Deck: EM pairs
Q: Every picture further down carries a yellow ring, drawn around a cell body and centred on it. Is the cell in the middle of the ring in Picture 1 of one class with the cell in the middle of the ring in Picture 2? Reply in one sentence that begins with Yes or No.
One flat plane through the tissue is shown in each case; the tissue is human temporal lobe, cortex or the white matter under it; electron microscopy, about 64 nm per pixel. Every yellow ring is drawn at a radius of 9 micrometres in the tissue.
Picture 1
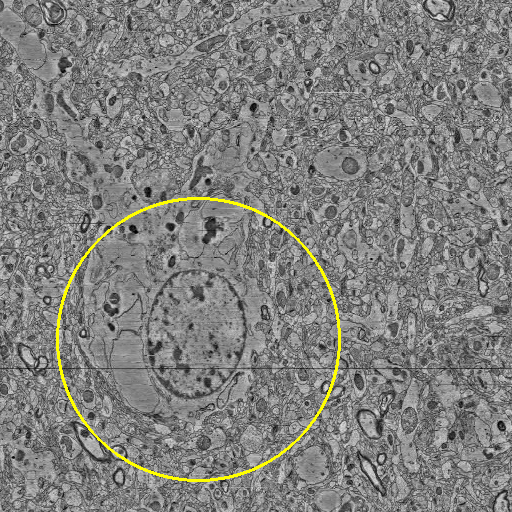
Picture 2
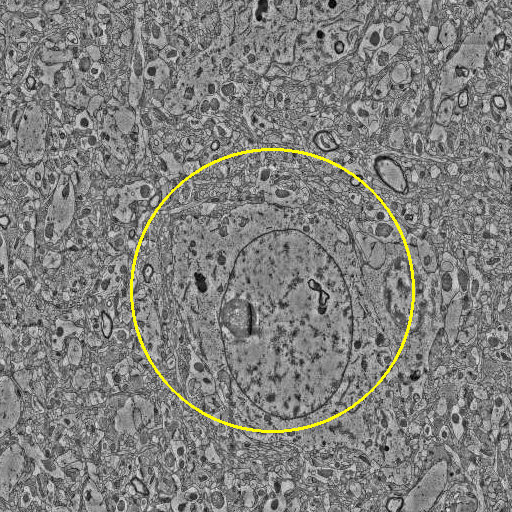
No, the cell centred in the ring of Picture 1 and the one in Picture 2 belong to separate classes.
